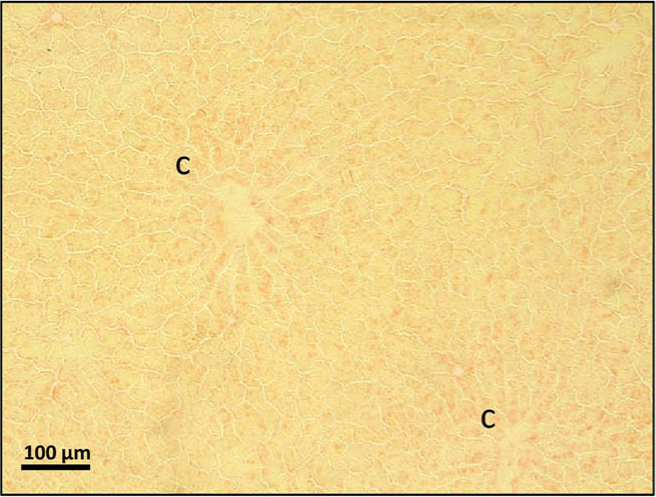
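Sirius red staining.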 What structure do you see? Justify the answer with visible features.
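Rows of cells branch and rejoin. The rows converge radially on pale central spaces.
Anastomozing cords.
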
